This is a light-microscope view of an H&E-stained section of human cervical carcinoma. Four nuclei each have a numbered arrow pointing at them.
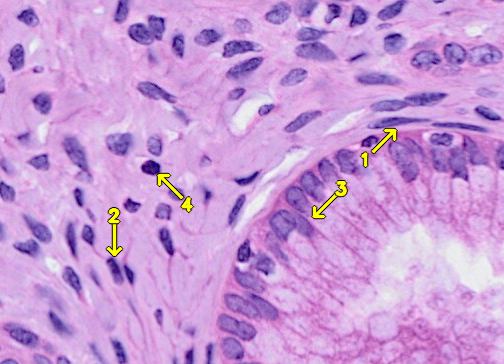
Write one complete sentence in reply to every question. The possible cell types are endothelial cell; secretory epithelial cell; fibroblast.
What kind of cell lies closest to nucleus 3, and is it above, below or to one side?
Just to the left of nucleus 3 lies the nearest nucleus, which belongs to a secretory epithelial cell.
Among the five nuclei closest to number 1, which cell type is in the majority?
Of the five nuclei nearest to number 1, most belong to secretory epithelial cells.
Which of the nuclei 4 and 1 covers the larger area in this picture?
At about 1.5 times the area of nucleus 4, nucleus 1 is the larger of the two.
